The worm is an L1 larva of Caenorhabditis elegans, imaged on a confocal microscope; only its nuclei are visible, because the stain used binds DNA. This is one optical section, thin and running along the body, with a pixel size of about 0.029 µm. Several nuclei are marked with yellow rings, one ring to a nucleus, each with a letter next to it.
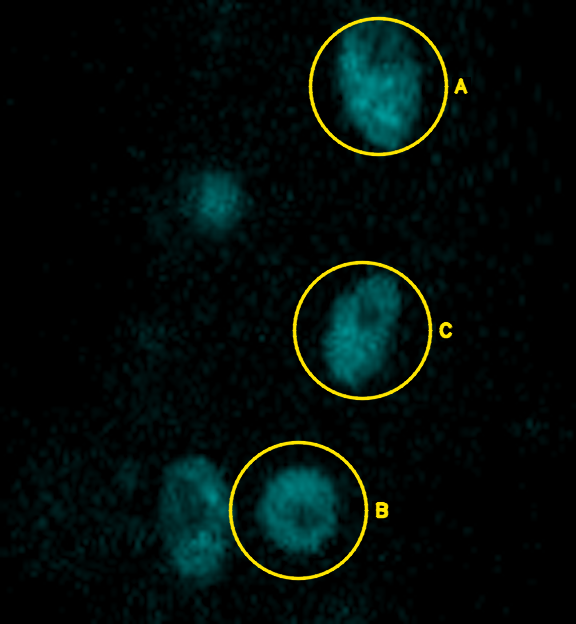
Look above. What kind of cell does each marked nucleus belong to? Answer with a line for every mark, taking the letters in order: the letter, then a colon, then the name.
A: seam cell
B: seam cell
C: P cell (ventral epidermal blast cell)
